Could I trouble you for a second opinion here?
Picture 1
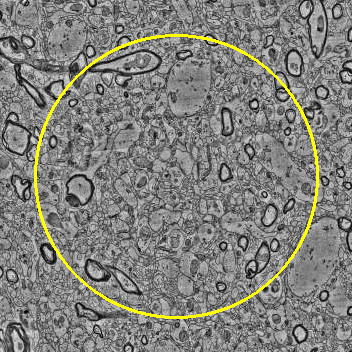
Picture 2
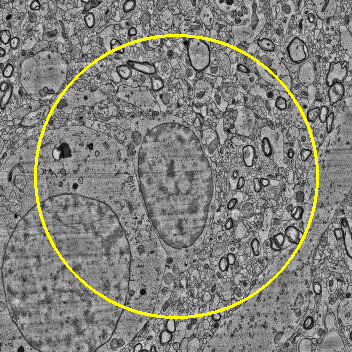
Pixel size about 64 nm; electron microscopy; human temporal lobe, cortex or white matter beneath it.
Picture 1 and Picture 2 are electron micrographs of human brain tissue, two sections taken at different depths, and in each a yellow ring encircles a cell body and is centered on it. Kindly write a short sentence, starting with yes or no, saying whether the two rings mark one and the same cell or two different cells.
No, the two rings were placed on two different cells.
